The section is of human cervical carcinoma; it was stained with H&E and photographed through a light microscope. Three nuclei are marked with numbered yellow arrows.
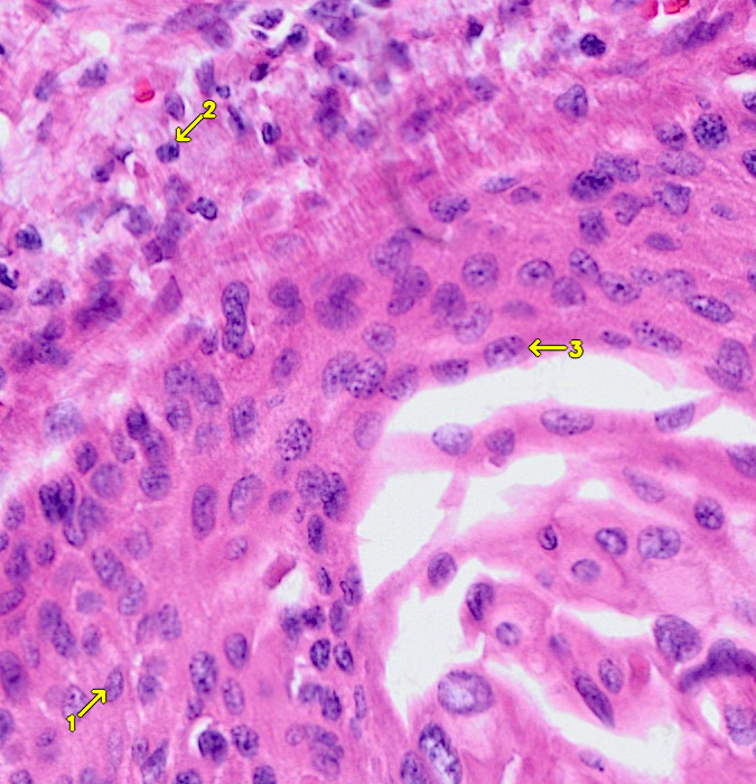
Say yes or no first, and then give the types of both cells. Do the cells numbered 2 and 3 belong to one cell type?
No, hold on, cell 2 is a lymphocyte and cell 3 is a squamous carcinoma cell.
